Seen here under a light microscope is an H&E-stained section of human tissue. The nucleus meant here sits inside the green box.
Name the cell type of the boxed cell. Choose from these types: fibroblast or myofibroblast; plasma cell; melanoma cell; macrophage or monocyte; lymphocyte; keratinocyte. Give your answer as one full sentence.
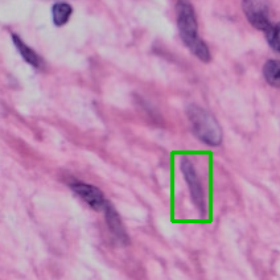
In the tissue at hand, the boxed cell is a fibroblast or myofibroblast.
